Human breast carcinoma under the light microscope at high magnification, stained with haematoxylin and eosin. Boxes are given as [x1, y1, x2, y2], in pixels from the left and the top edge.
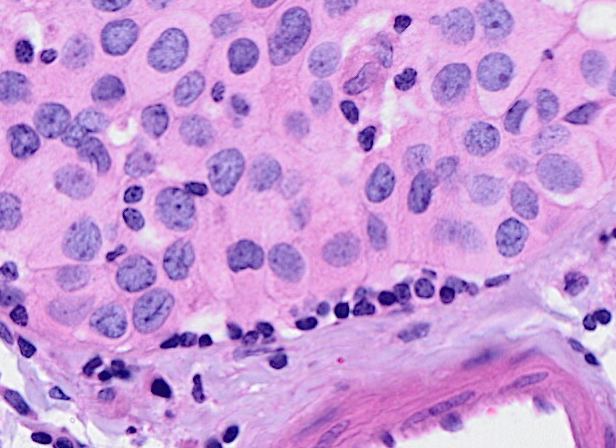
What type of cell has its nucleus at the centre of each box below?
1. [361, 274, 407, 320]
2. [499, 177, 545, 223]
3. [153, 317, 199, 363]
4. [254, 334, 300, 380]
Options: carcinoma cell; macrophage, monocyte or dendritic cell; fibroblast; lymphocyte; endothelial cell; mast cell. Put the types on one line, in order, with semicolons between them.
lymphocyte; carcinoma cell; lymphocyte; lymphocyte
